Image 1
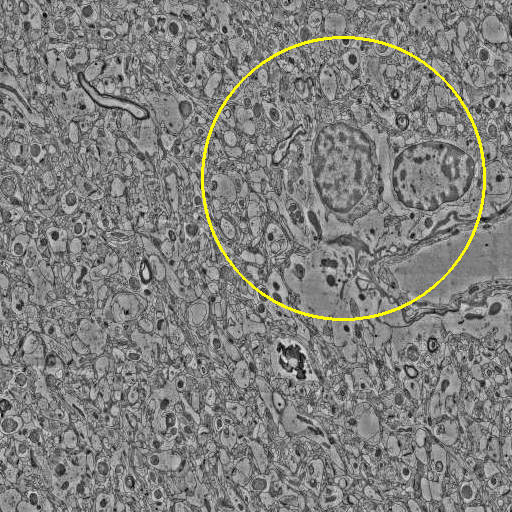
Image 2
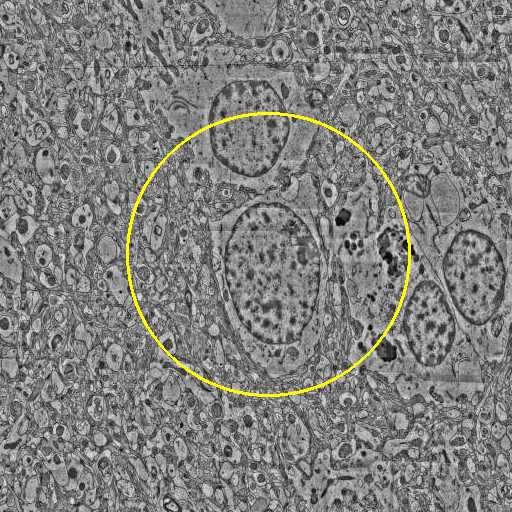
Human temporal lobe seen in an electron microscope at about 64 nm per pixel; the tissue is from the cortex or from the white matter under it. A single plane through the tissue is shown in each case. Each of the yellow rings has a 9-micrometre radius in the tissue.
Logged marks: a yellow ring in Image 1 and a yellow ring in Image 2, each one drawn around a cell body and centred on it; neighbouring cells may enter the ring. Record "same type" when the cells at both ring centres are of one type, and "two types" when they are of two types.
two types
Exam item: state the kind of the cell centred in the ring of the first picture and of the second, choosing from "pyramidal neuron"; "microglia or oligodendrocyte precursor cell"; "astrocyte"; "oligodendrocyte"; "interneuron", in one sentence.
The first picture shows an oligodendrocyte at the ring centre and the second shows an astrocyte.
